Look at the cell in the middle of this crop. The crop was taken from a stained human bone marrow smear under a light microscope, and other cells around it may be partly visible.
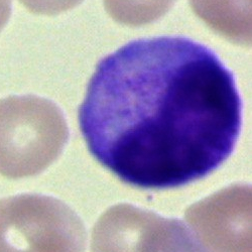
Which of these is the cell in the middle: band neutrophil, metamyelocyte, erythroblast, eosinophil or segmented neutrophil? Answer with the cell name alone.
metamyelocyte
